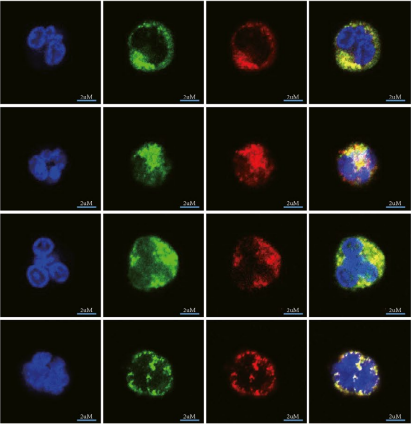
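These are single neutrophils, one per frame, each with the typical lobed nucleus: the blue stain shows a nucleus divided into several rounded lobes. Where green and red overlap the merged image turns yellow. In some cells the green granules gather into larger clumps crowded against the lobes of the nucleus, while in others they are spread more evenly in a ring around it. The nucleus itself stays mostly free of the green signal.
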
